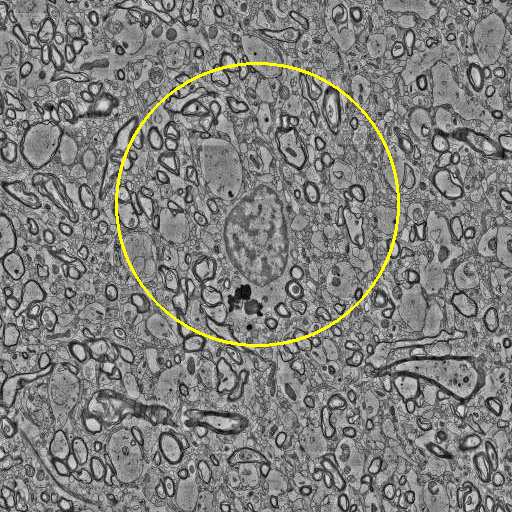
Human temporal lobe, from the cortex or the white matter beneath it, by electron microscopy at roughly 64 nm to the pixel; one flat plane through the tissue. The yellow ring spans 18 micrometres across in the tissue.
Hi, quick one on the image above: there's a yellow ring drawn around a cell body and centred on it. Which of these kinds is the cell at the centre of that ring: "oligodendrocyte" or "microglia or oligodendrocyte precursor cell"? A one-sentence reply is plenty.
The cell at the centre of the ring is an oligodendrocyte.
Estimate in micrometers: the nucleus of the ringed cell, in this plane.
Roughly 6 micrometres by 4 micrometres, in this plane.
